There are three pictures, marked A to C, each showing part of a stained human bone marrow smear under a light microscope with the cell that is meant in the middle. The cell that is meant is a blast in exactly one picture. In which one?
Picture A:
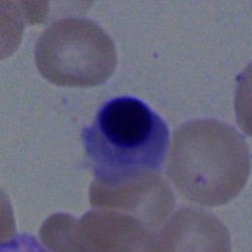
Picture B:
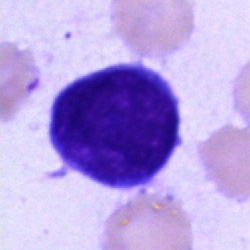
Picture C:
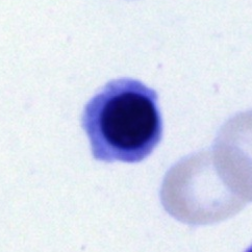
B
